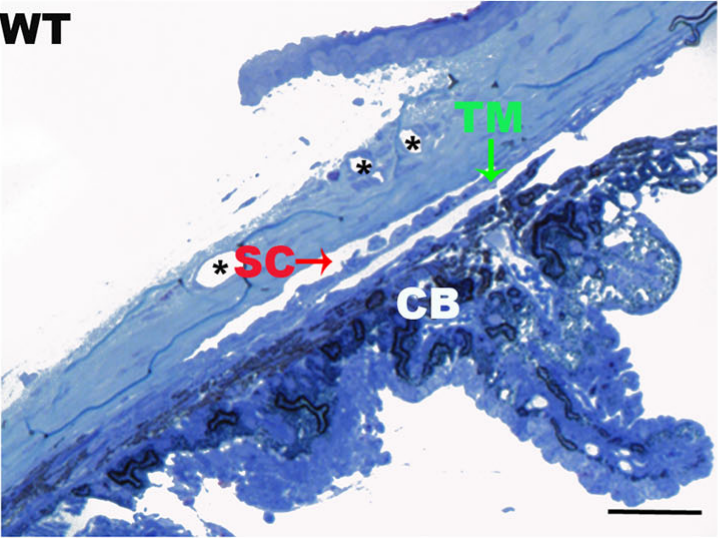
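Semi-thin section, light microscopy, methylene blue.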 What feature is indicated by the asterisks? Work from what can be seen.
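Each asterisk sits in a small clear oval lumen. The lumens lie within the pale blue outer wall tissue, away from the folded tissue below.
Answer: Distal vessels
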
